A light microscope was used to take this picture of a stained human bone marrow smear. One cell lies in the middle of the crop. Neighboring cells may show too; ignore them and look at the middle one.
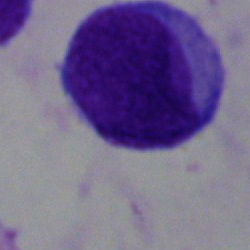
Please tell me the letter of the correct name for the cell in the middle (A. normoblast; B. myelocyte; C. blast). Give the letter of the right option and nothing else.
C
